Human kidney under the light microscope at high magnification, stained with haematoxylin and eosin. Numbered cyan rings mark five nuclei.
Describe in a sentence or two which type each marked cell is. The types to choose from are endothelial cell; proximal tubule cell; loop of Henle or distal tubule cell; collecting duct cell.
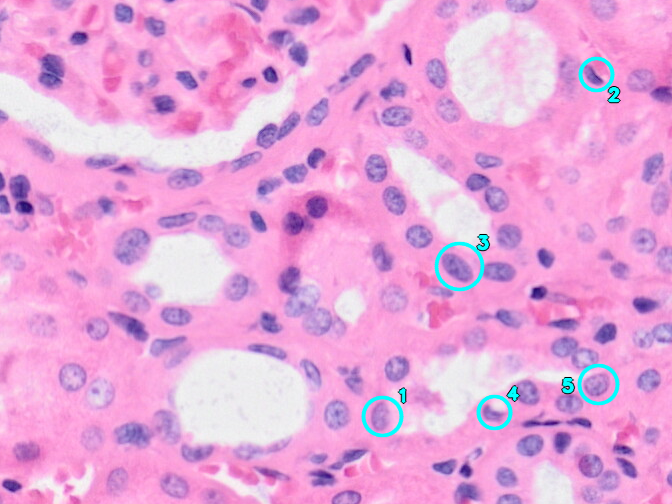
Cells 1, 4 and 5 are loop of Henle or distal tubule cells. Cell 2 is an endothelial cell. Cell 3 is a collecting duct cell.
